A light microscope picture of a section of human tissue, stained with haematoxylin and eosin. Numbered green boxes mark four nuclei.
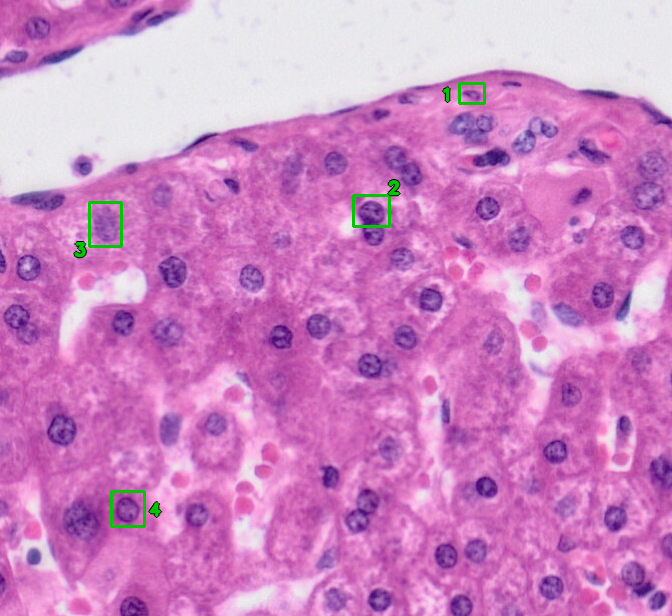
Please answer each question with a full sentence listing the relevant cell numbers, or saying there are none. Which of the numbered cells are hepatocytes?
The cells picked out by numbers 2, 3 and 4 are hepatocytes.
